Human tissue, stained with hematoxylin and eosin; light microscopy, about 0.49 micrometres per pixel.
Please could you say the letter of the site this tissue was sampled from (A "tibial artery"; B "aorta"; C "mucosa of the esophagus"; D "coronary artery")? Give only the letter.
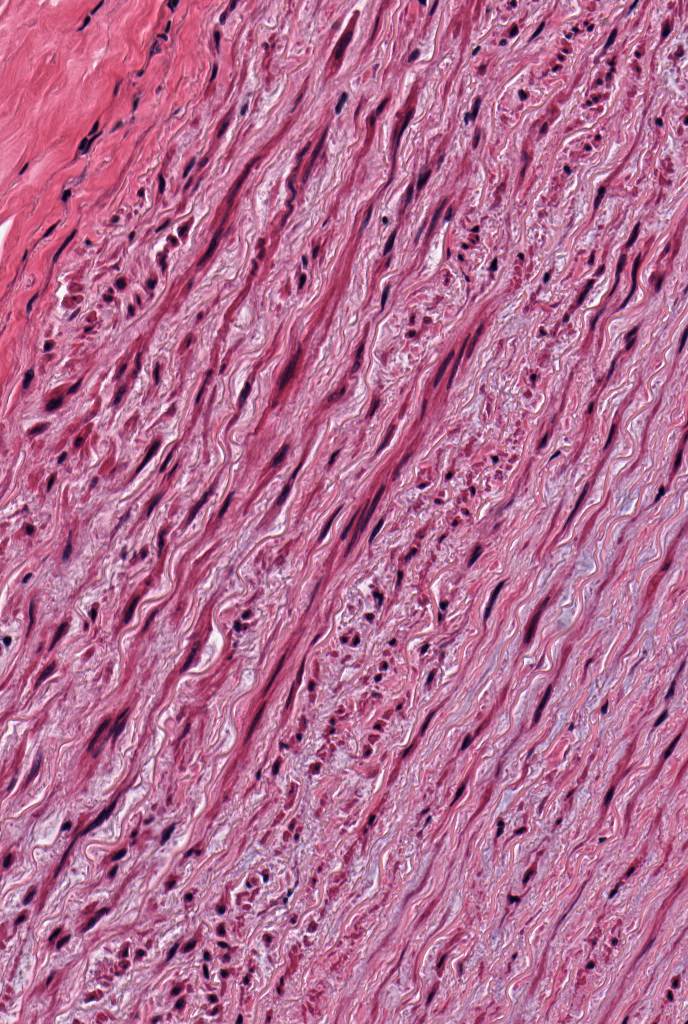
B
